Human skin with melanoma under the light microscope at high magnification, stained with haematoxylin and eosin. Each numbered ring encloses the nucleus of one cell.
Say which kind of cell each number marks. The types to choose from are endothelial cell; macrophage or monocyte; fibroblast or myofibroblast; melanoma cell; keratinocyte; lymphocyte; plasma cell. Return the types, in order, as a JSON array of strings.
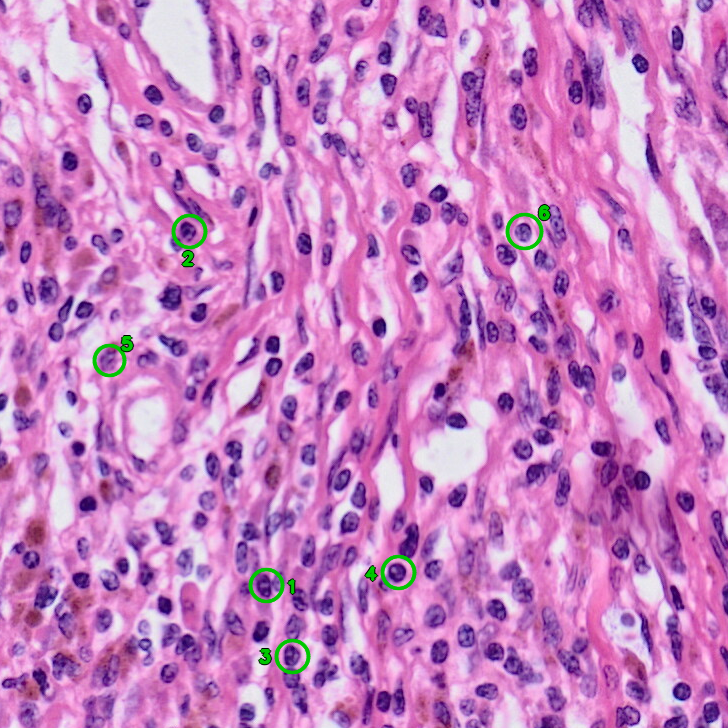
["plasma cell", "plasma cell", "lymphocyte", "lymphocyte", "macrophage or monocyte", "lymphocyte"]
